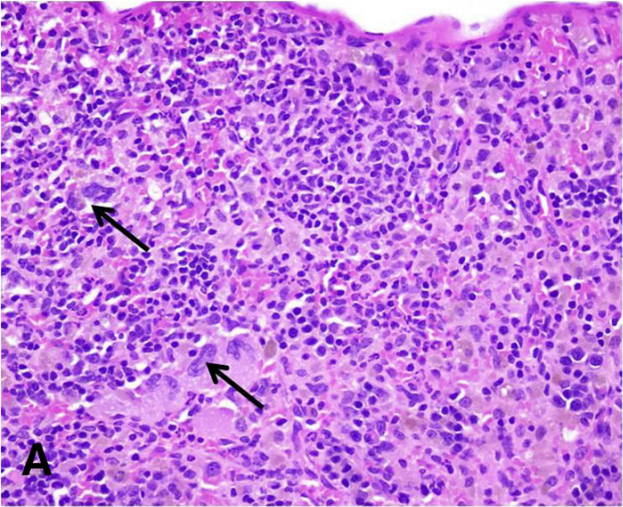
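This section of spleen, lying beneath a thin pink capsule, is packed with small round cells with dark purple nuclei. Scattered among them are several very large cells with abundant pale pink cytoplasm and big, irregular, lobulated nuclei. These giant cells are megakaryocytes, lying within the splenic tissue rather than in bone marrow. Together with the dense clusters of small blood-forming cells around them, they mark foci of extramedullary blood cell formation in the red pulp.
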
